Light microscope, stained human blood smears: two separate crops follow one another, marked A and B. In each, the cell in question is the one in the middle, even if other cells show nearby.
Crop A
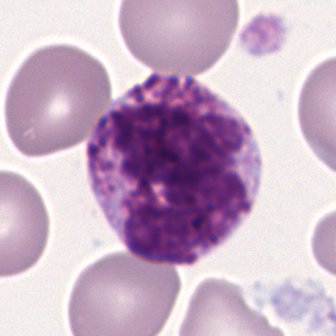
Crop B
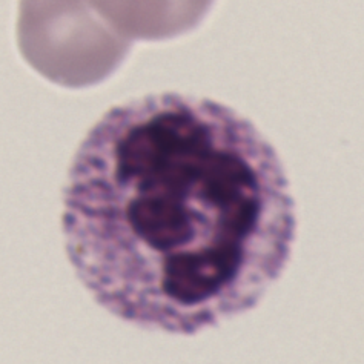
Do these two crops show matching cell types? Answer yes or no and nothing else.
no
